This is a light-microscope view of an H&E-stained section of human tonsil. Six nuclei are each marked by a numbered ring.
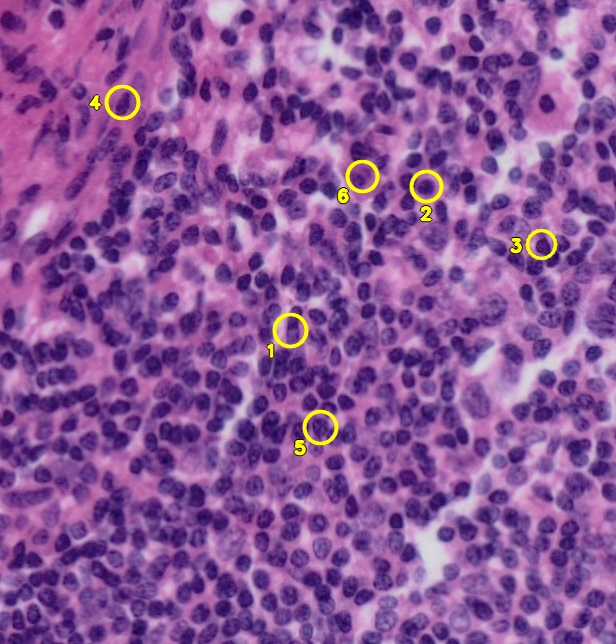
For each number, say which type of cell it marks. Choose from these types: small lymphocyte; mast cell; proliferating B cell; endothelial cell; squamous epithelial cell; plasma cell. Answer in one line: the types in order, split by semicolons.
small lymphocyte; small lymphocyte; small lymphocyte; endothelial cell; small lymphocyte; plasma cell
